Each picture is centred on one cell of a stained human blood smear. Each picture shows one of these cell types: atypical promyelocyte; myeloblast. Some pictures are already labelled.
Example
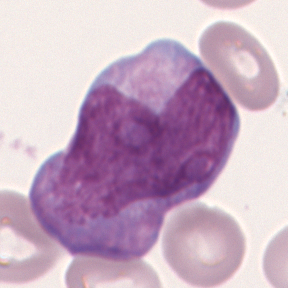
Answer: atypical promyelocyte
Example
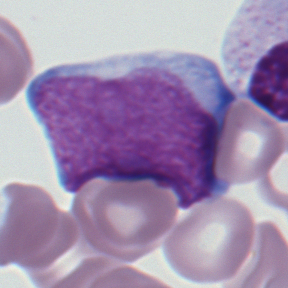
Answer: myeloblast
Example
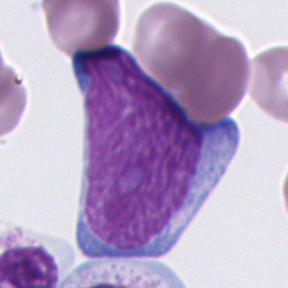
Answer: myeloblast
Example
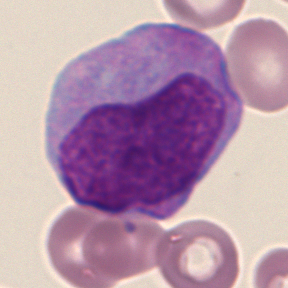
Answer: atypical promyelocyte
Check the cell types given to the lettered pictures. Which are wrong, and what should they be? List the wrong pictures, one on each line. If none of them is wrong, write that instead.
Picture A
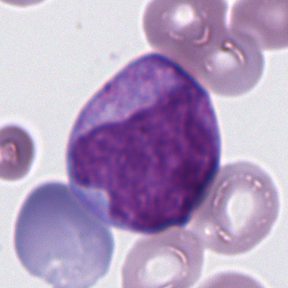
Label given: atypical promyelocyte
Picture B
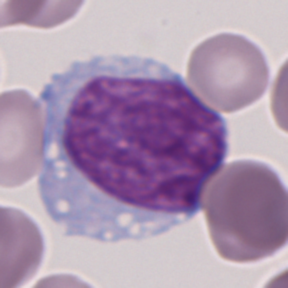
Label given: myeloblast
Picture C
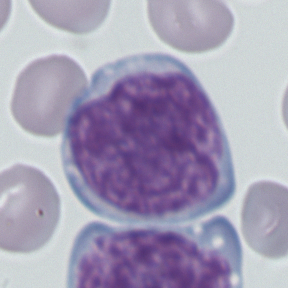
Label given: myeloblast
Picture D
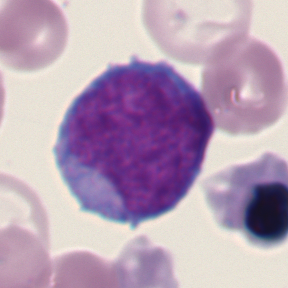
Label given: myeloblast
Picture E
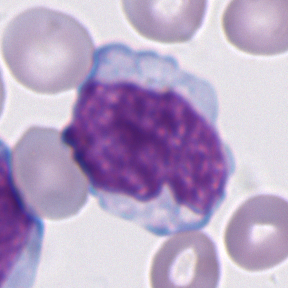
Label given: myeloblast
No label is wrong.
